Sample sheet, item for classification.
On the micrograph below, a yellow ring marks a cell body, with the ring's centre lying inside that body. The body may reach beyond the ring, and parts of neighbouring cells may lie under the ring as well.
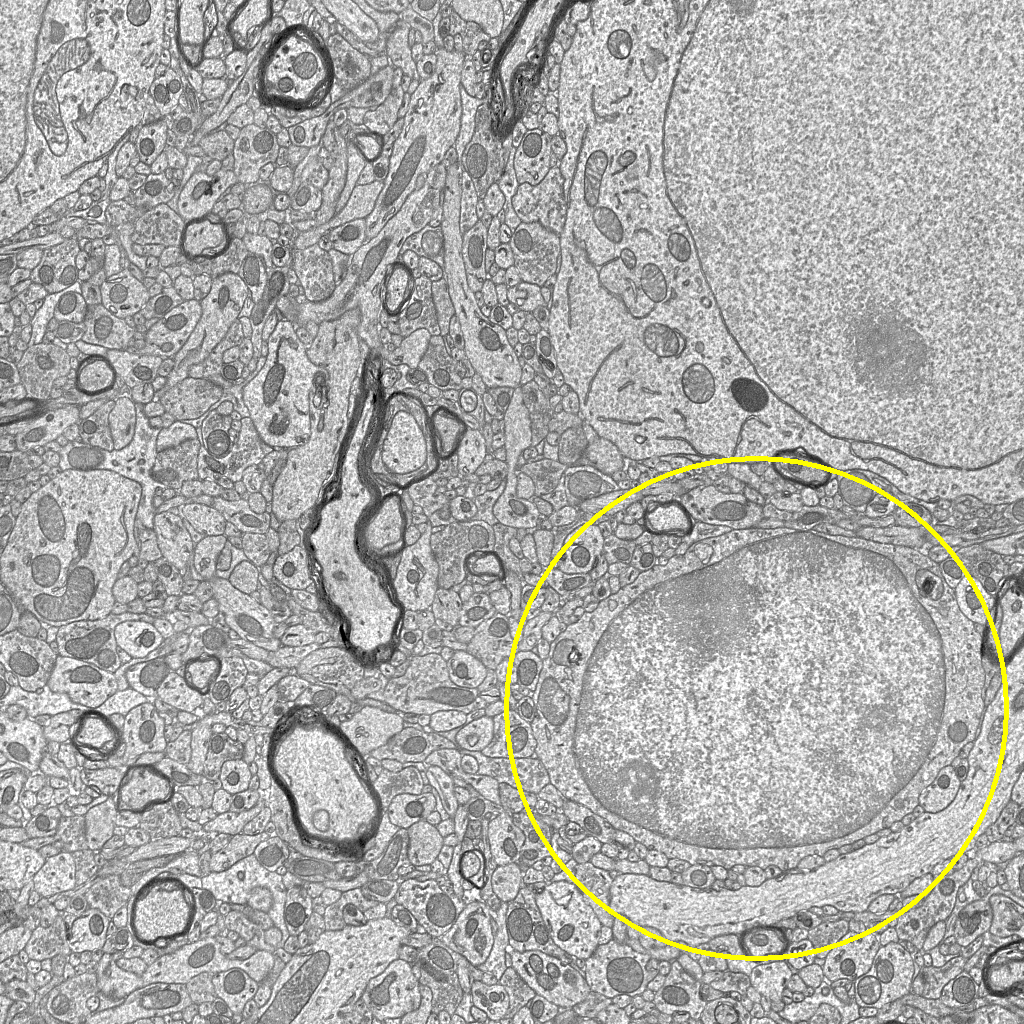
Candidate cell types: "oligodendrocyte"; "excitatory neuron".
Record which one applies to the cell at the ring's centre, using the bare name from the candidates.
oligodendrocyte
